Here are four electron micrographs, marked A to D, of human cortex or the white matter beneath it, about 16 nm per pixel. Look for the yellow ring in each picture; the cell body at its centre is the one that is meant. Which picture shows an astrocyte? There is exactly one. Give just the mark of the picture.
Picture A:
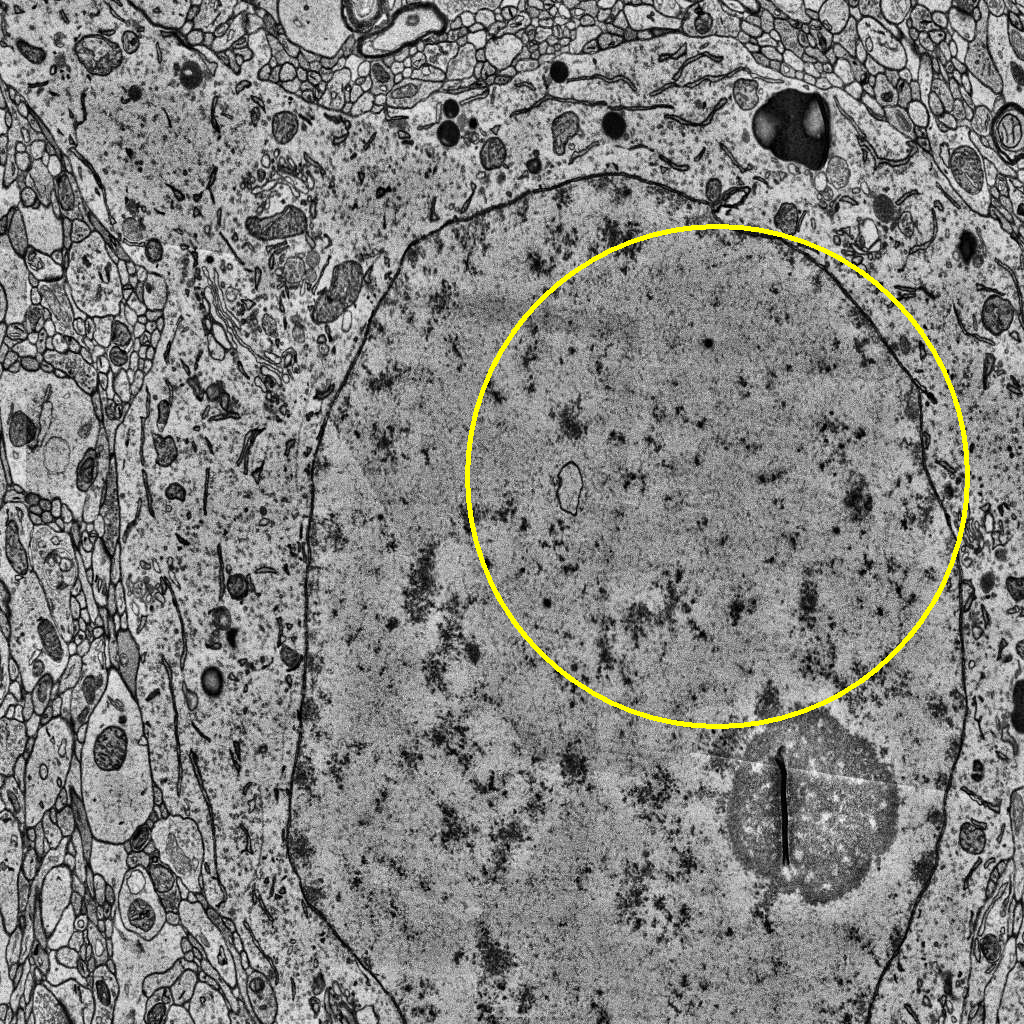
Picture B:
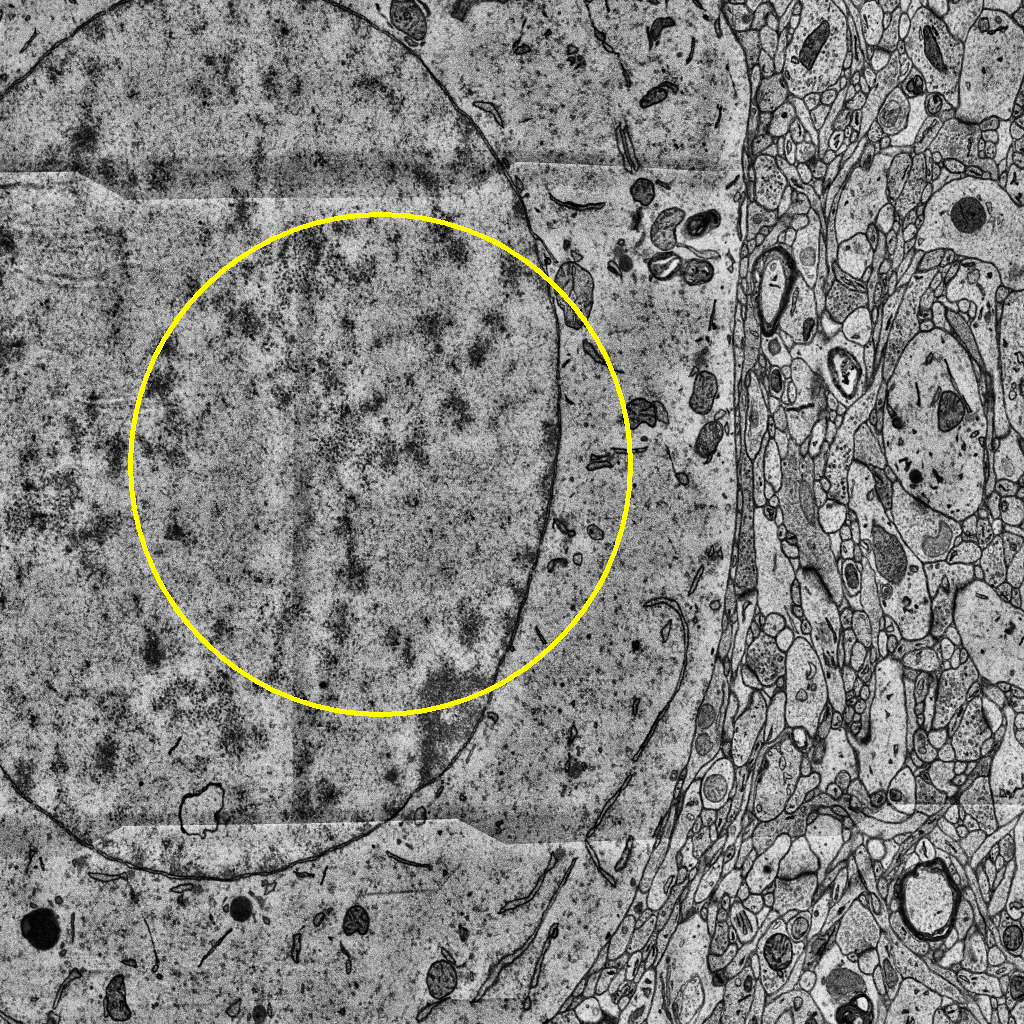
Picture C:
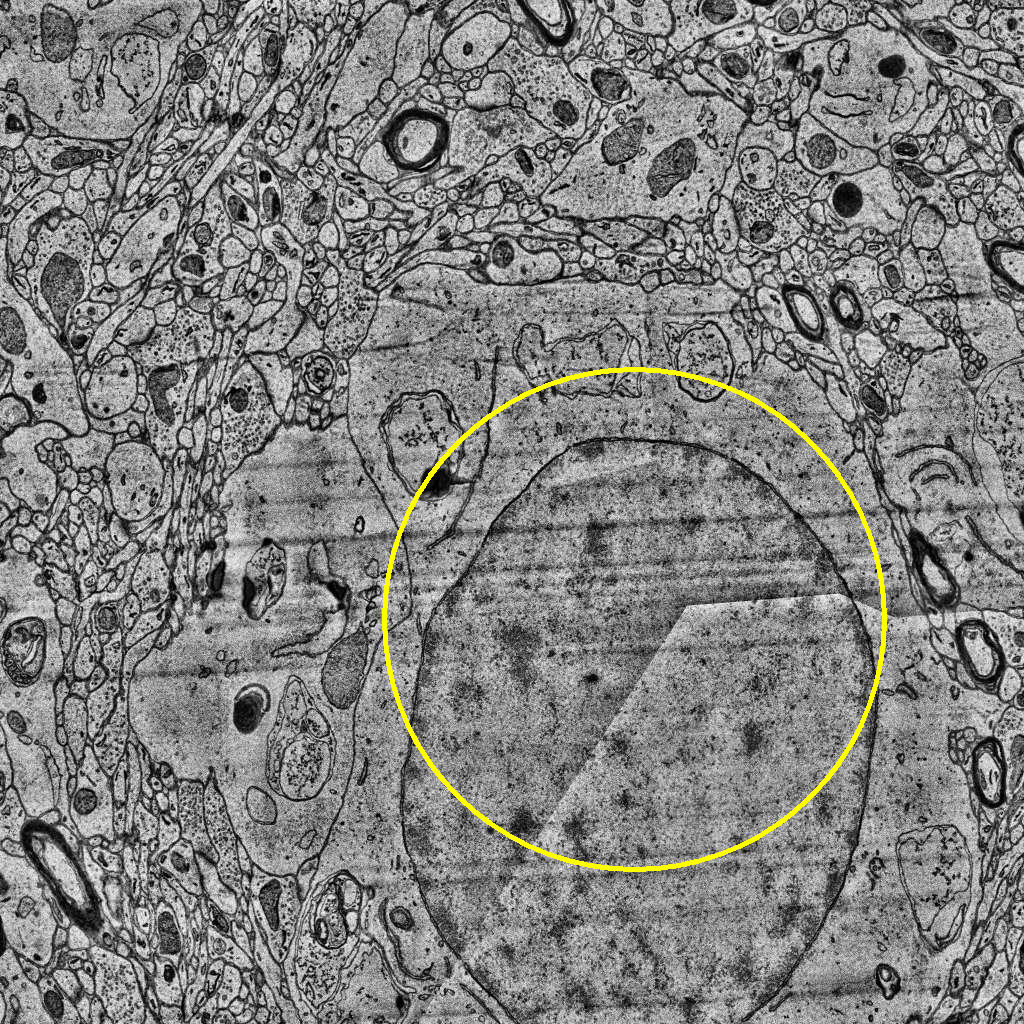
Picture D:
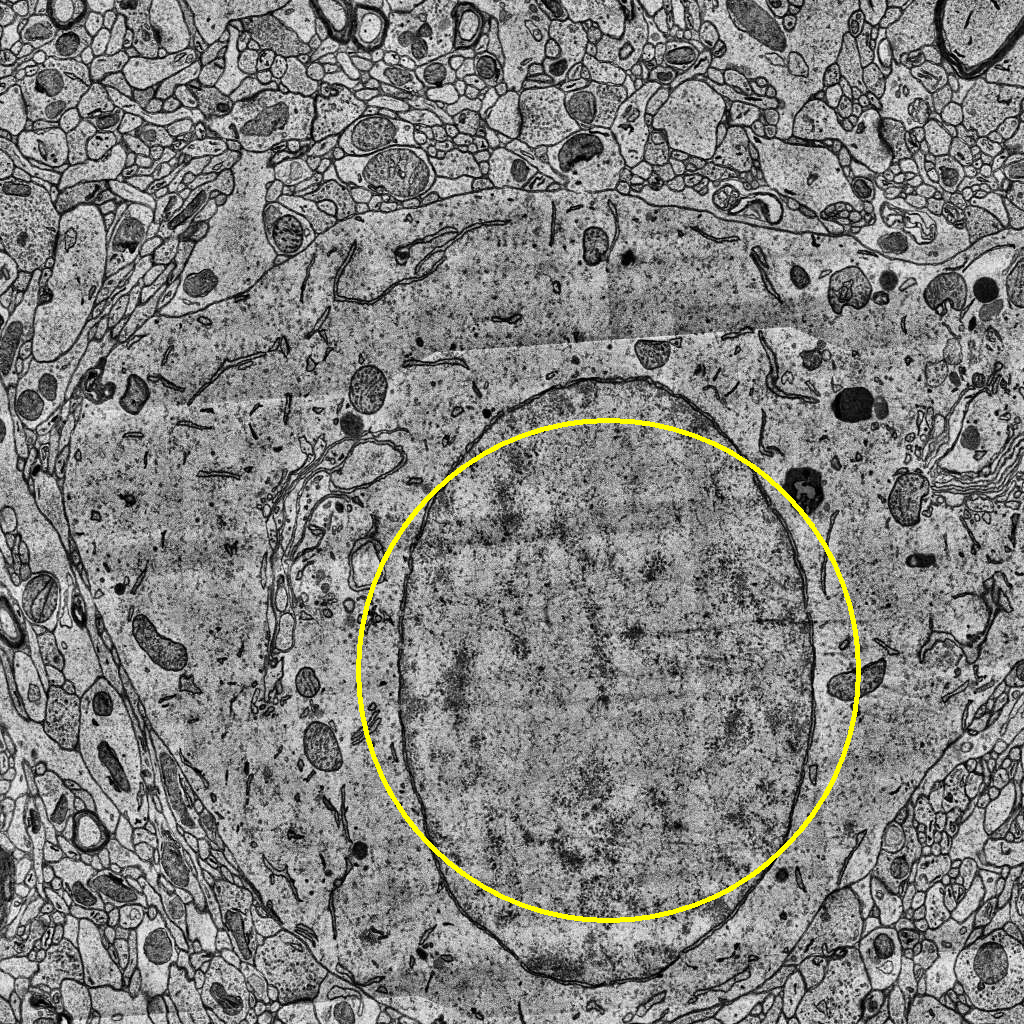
C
